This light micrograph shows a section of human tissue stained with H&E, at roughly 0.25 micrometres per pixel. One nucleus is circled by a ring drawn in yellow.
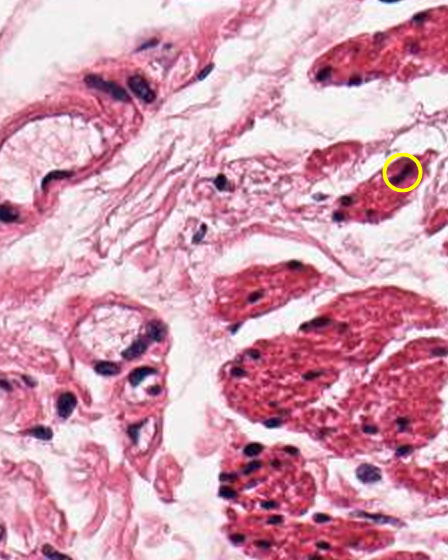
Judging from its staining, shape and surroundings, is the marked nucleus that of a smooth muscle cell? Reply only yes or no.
yes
